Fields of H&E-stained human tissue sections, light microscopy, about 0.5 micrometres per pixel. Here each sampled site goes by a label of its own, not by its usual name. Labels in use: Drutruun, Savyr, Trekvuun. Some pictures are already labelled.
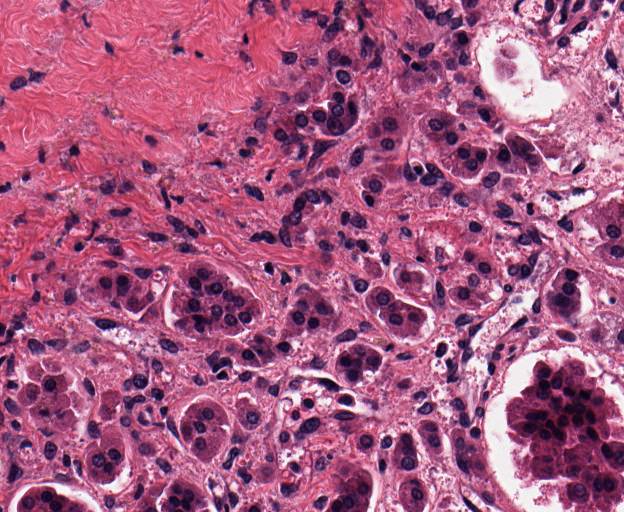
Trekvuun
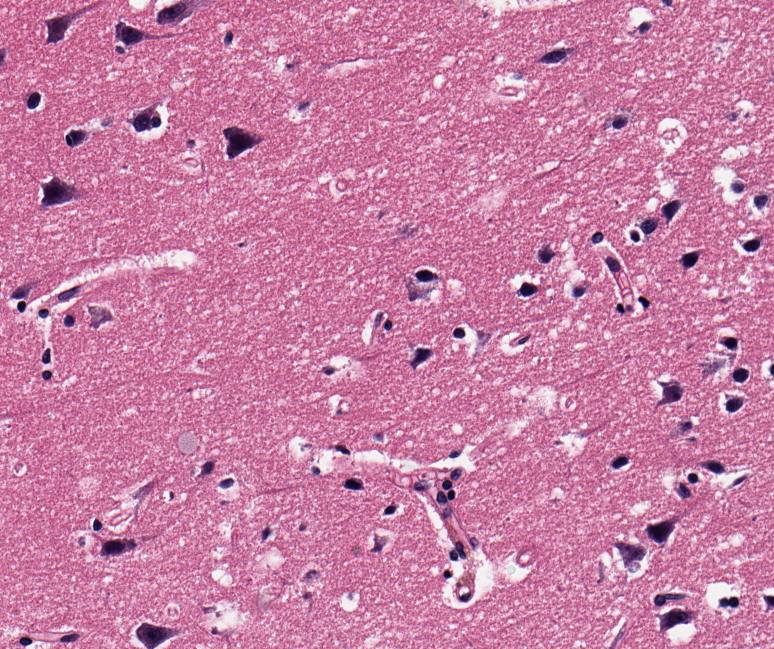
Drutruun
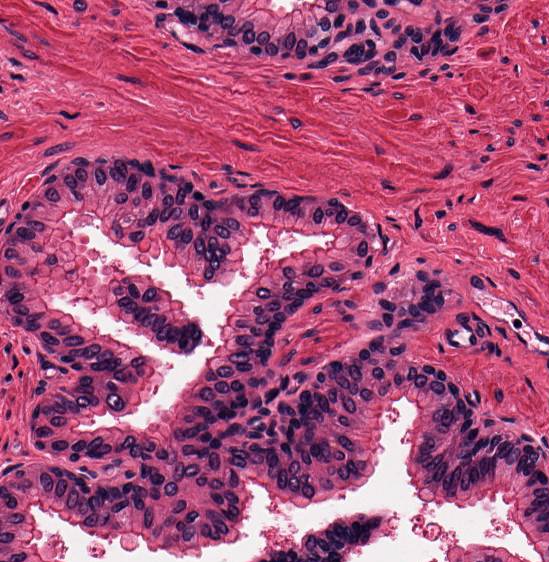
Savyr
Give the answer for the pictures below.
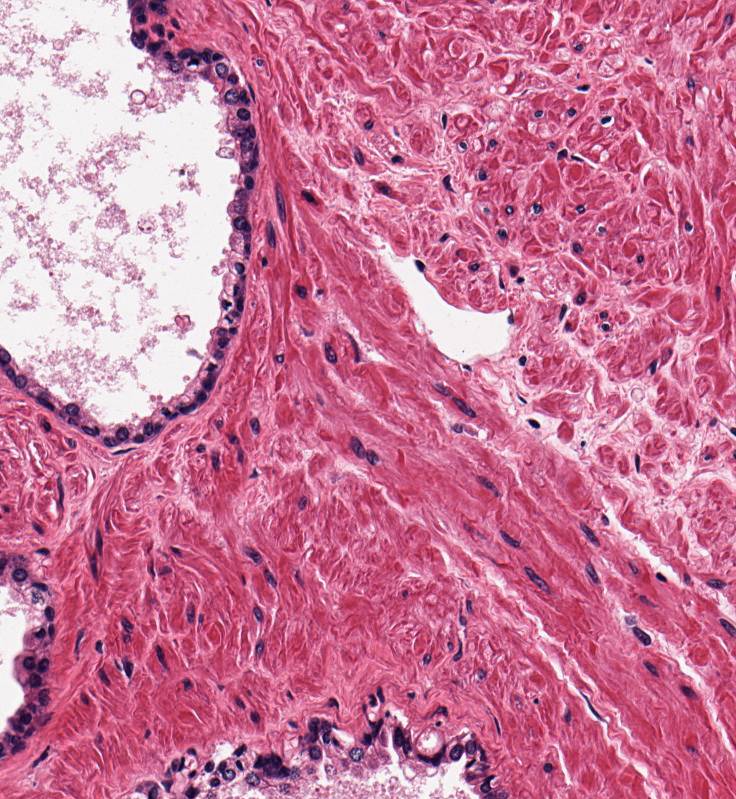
Savyr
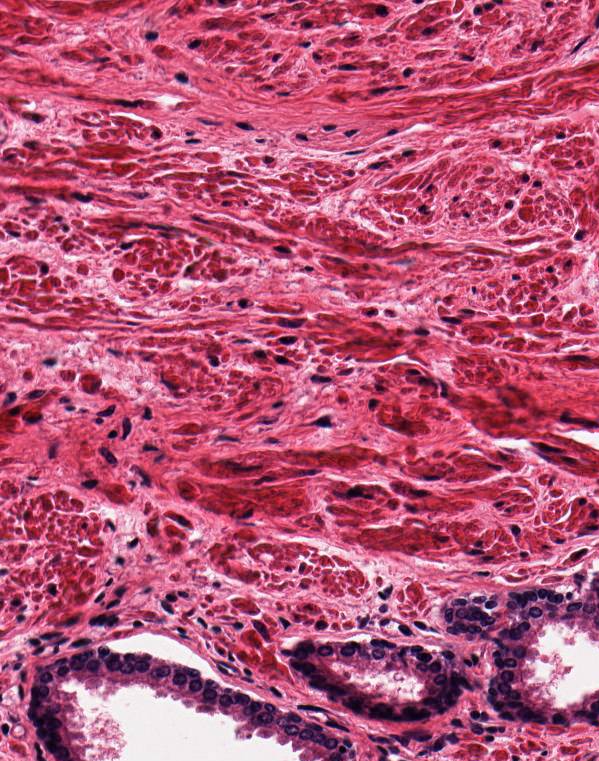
Savyr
